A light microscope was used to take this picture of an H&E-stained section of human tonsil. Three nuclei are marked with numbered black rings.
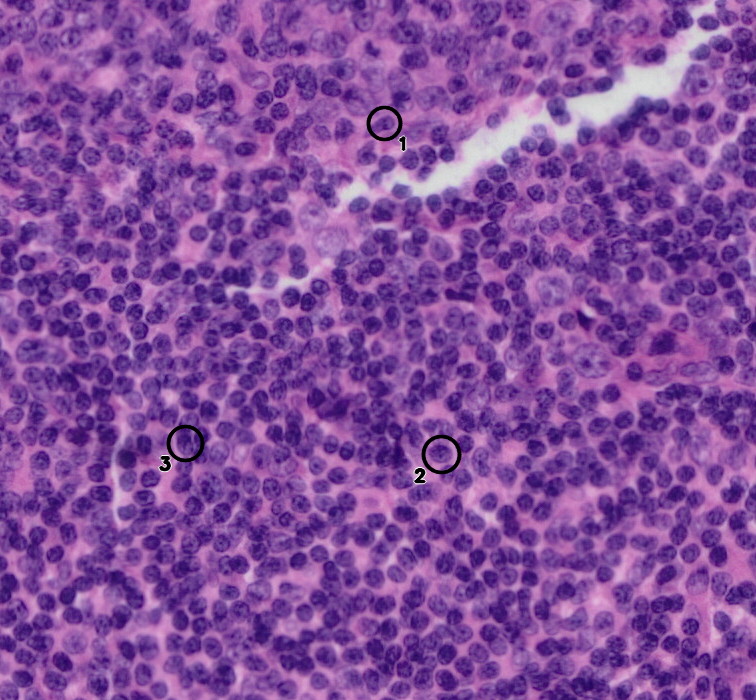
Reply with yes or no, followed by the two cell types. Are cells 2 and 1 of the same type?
No, cell 2 is a small lymphocyte and cell 1 is a proliferating B cell.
